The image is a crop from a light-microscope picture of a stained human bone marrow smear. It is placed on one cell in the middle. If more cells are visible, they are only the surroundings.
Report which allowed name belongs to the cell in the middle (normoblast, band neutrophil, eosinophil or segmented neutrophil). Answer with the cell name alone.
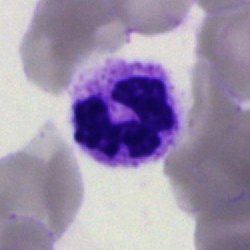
segmented neutrophil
